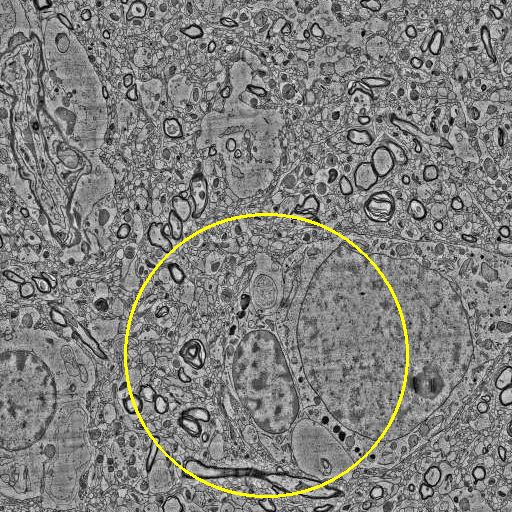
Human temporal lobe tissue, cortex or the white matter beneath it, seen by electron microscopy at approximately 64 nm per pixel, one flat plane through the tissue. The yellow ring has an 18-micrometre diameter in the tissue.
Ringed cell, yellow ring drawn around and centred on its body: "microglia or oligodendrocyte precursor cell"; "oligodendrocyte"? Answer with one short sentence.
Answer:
This ringed cell is a microglial cell or oligodendrocyte precursor cell.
